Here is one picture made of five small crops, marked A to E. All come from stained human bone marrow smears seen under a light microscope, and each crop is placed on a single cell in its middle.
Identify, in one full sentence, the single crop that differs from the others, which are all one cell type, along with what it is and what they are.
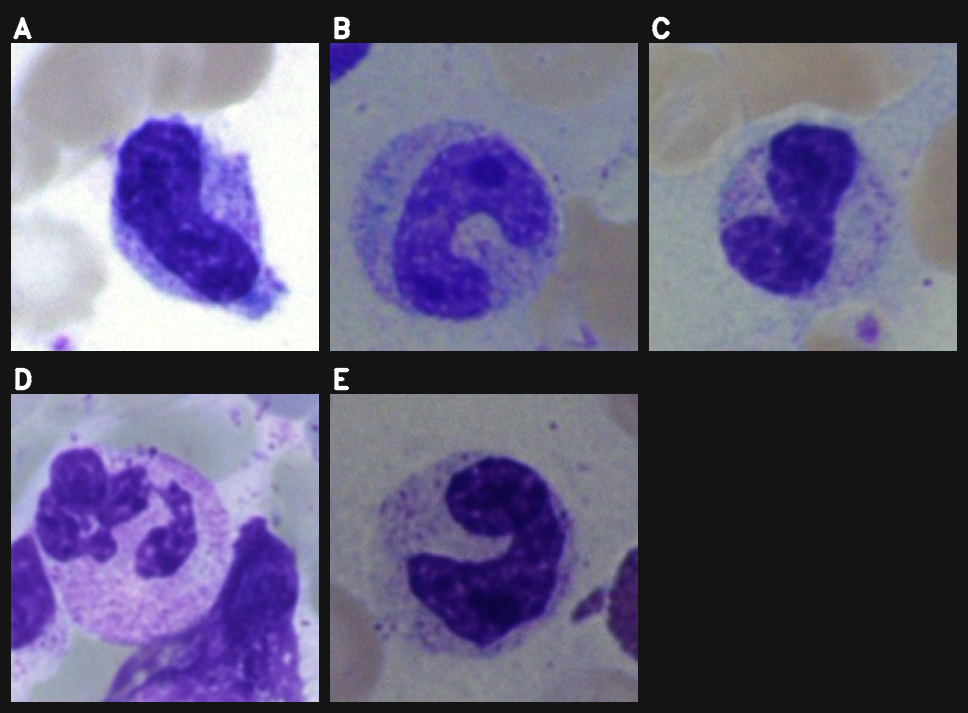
Only crop D differs, being a segmented neutrophil, while the others all show band neutrophils.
